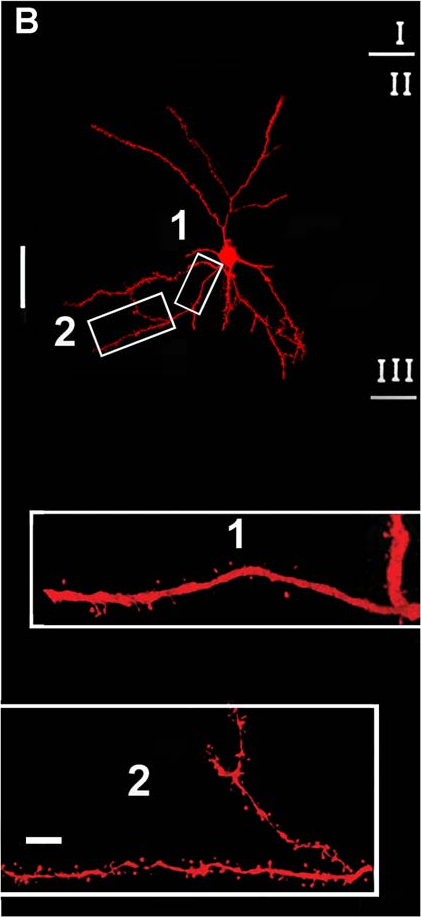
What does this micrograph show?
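A single red-filled neuron lies in the upper cortical layers, between the marks for the second and third layers. A bright, somewhat triangular cell body sends a long, thin dendrite upward toward the surface, which branches as it rises, while several dendrites spread downward and sideways from the base. The magnified boxes show thin dendritic branches at high power, bearing small protrusions along their length, some with knob-like heads.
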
